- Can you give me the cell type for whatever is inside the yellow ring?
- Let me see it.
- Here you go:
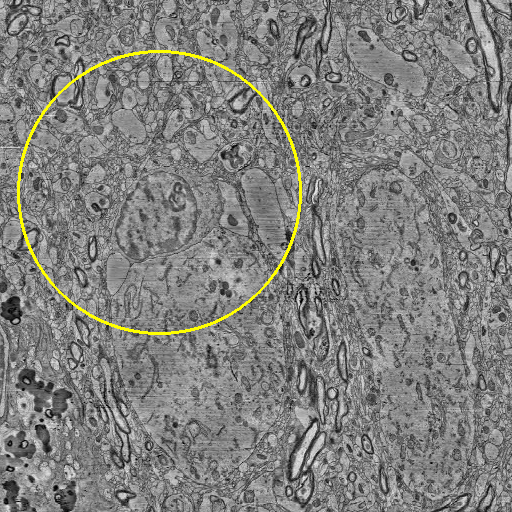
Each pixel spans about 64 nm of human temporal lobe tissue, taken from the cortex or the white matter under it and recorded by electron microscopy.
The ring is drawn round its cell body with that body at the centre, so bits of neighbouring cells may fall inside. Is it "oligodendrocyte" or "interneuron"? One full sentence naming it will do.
The cell body in the middle of the ring in this picture belongs to an oligodendrocyte.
